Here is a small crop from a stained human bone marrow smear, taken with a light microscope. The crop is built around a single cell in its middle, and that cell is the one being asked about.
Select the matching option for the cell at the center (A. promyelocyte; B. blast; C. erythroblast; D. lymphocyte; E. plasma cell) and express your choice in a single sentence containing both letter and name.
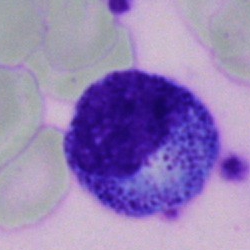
Here the central cell is a promyelocyte, and option A is correct.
